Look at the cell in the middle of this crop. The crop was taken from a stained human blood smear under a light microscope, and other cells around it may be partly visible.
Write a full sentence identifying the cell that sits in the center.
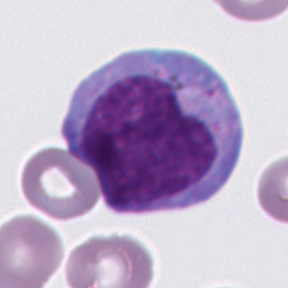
Located at the centre of the crop is an atypical promyelocyte.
